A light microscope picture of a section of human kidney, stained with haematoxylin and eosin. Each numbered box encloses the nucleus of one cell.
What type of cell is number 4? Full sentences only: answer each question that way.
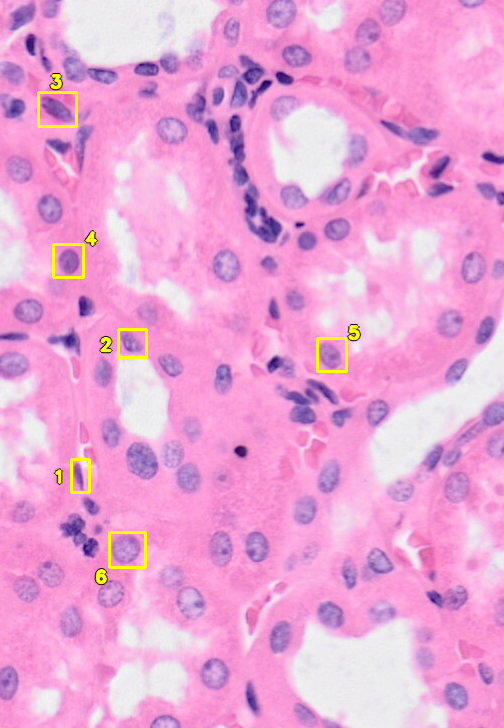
The cell indicated by marker 4 is a proximal tubule cell in this section.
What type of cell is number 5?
The cell referenced by the number 5 is a proximal tubule cell in this field.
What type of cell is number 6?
Corresponding to a proximal tubule cell is the cell labelled 6.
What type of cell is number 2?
Marked with the number 2, this cell is a loop of Henle or distal tubule cell.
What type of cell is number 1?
The cell numbered 1 represents an endothelial cell.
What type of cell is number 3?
Looking at the numbered marks, cell 3 is an endothelial cell.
